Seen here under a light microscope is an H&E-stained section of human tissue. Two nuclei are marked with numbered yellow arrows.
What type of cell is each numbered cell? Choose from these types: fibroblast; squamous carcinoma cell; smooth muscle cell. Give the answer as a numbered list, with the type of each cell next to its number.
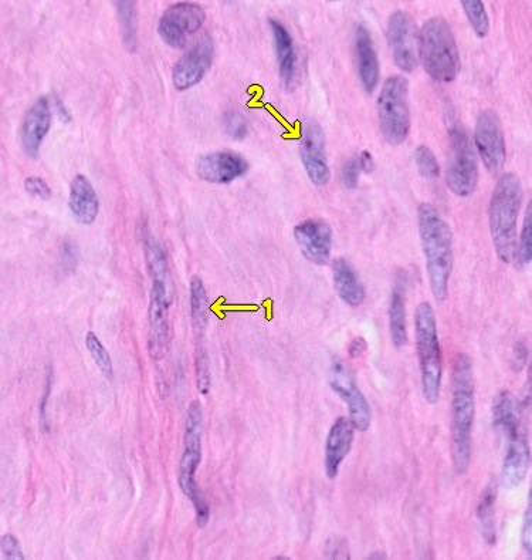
1. smooth muscle cell
2. fibroblast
